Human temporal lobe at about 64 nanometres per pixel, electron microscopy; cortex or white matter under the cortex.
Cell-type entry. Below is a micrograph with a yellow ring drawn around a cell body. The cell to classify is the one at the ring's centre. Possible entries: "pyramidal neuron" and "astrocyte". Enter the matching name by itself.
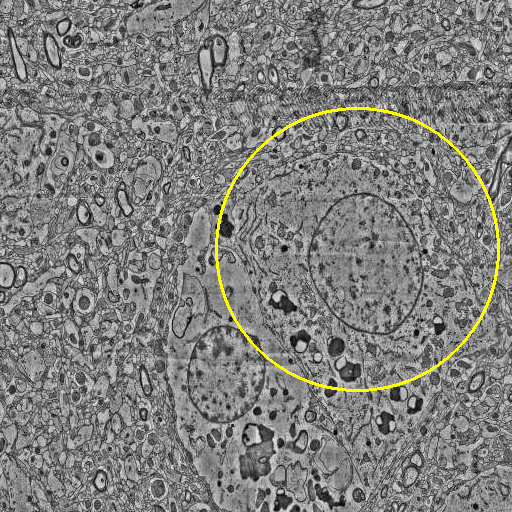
pyramidal neuron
